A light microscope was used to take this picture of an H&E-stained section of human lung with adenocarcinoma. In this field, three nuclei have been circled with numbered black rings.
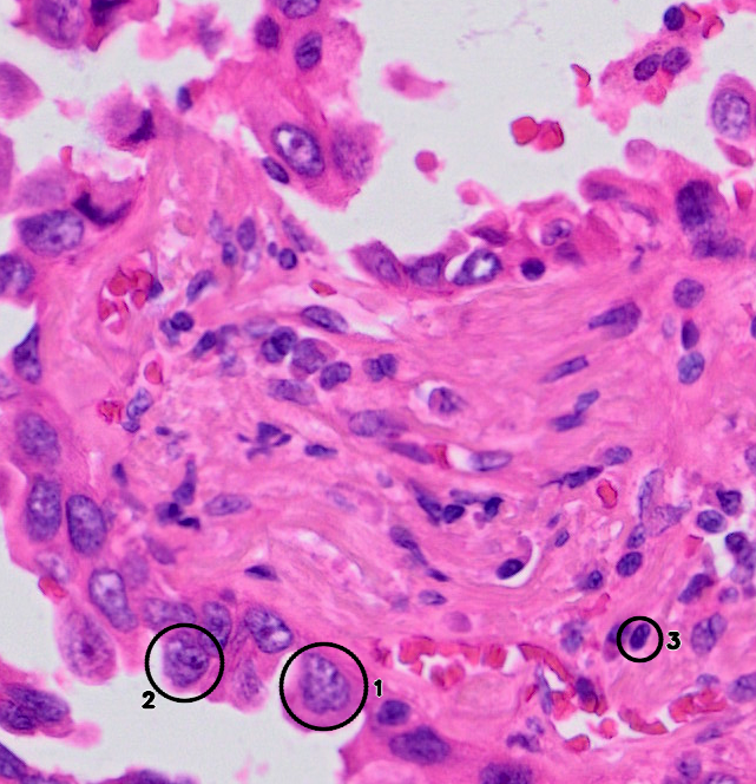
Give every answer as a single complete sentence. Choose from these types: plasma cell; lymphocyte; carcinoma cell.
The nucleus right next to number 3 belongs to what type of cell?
The cell nearest to number 3 is a plasma cell.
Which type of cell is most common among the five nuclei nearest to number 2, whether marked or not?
Most of the five nuclei nearest to number 2 are those of carcinoma cells.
